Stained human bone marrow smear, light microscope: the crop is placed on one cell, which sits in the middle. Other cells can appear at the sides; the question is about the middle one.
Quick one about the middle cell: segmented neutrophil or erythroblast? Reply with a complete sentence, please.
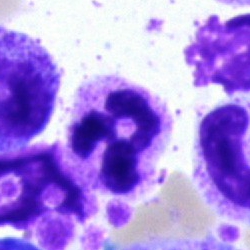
The cell marked by its central position in the crop is a segmented neutrophil.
